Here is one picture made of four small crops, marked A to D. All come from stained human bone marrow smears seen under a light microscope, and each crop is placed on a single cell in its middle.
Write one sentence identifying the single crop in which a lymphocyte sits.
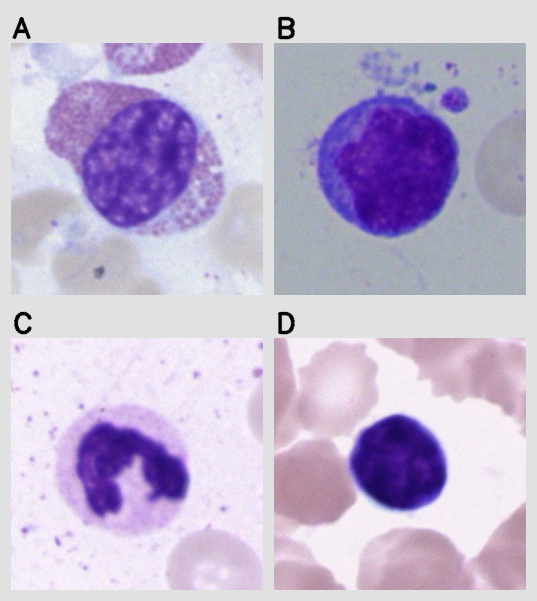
It is crop D, not any other, that shows a lymphocyte.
